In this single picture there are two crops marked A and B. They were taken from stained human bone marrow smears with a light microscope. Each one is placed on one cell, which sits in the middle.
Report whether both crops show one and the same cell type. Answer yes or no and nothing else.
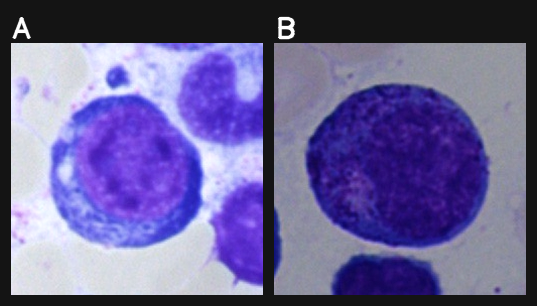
no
